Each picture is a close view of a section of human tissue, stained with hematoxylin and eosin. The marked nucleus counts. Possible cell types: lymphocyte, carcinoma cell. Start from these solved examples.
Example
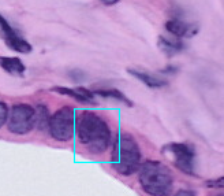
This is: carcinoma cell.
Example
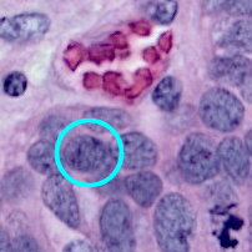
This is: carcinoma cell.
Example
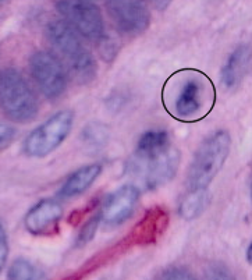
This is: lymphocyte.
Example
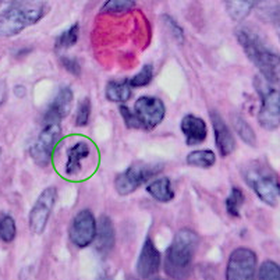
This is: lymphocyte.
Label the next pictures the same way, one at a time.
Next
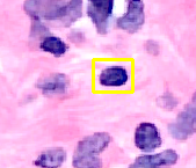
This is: lymphocyte.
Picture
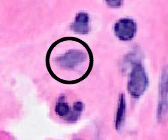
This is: lymphocyte.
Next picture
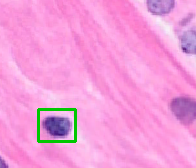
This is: lymphocyte.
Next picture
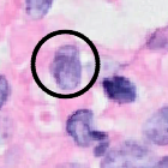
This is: carcinoma cell.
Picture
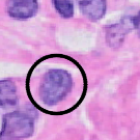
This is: carcinoma cell.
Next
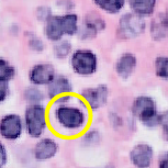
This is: lymphocyte.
